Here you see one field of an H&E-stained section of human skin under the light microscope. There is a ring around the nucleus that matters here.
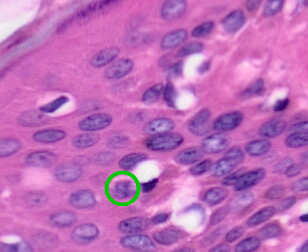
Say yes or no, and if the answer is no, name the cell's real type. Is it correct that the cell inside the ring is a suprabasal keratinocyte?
No, it is a basal keratinocyte.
